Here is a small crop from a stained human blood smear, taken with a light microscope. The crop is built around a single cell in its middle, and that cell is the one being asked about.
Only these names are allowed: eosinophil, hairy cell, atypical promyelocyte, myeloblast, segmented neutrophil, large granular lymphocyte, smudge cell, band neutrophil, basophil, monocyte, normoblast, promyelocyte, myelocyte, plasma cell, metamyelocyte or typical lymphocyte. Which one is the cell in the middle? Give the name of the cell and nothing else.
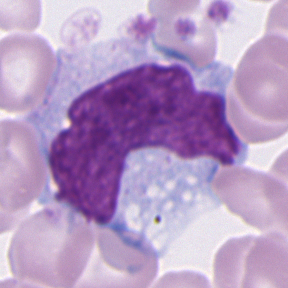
monocyte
